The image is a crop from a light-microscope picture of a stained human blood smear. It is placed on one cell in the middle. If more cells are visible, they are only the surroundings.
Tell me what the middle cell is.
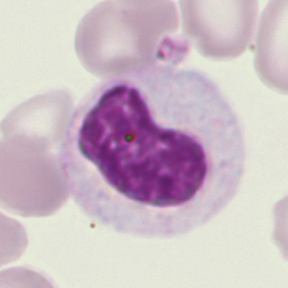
metamyelocyte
